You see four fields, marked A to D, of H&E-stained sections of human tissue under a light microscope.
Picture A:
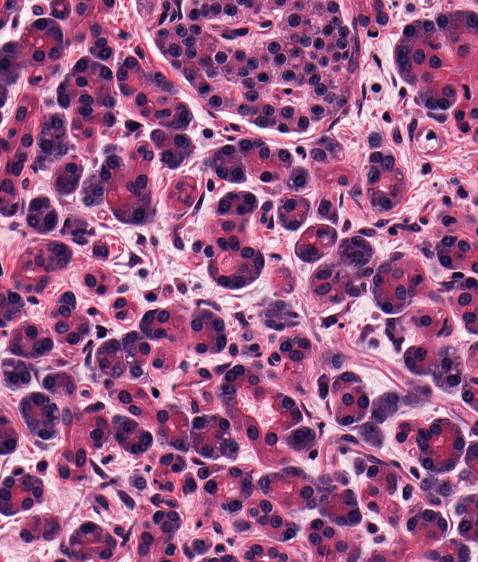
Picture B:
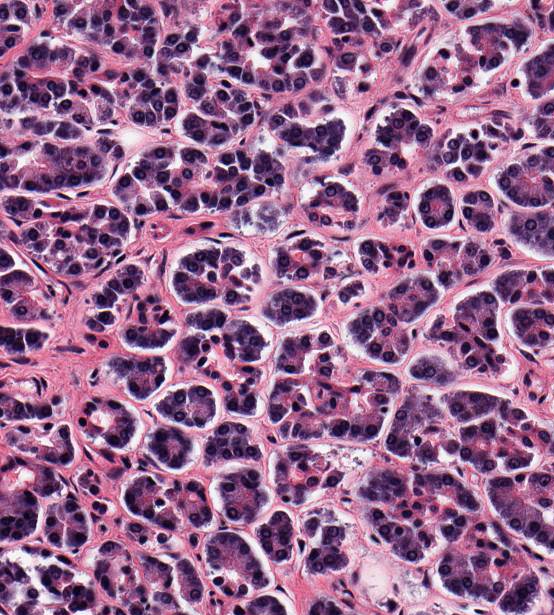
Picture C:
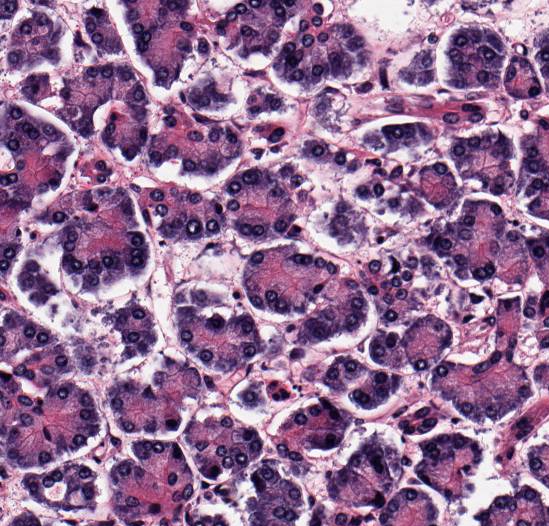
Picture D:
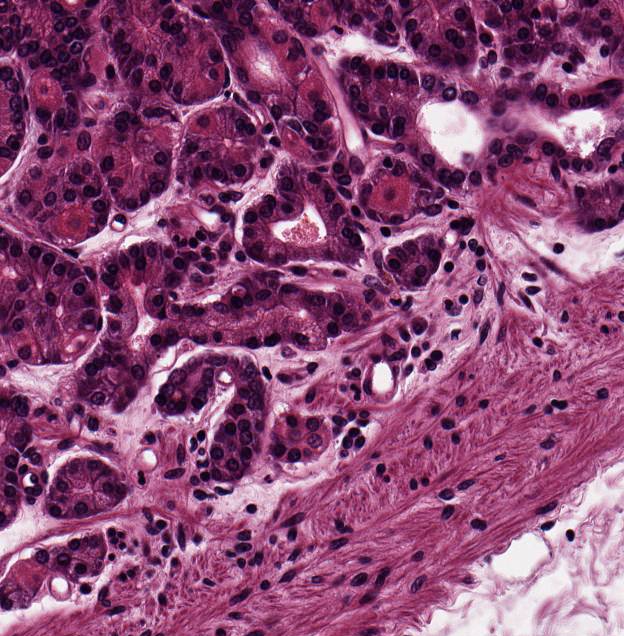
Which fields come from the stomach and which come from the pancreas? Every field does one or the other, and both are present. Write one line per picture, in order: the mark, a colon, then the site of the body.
A: pancreas
B: pancreas
C: pancreas
D: stomach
